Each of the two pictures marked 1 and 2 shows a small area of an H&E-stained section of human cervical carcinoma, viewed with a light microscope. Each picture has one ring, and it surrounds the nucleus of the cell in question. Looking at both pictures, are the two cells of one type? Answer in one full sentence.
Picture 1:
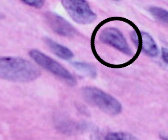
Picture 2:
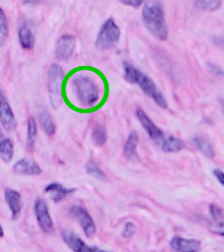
No; the cell in picture 1 is an endothelial cell, while the one in picture 2 is a smooth muscle cell.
